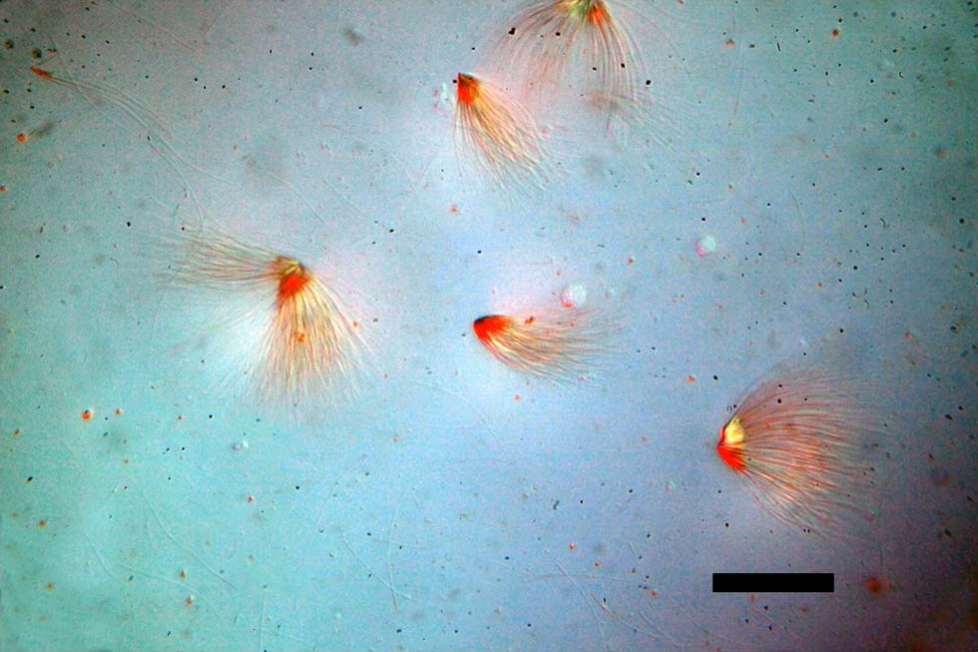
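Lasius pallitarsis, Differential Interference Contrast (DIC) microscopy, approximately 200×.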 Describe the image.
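Scattered over a pale bluish background lie about half a dozen separate fan- or brush-shaped groups of very long, thin, thread-like cells. In each group the threads are gathered at one end into a small, compact, intensely orange-red cap and from there run roughly parallel before spreading apart, so each group looks like a tuft or shuttlecock. Thin single threads also lie loose in the background between the groups.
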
